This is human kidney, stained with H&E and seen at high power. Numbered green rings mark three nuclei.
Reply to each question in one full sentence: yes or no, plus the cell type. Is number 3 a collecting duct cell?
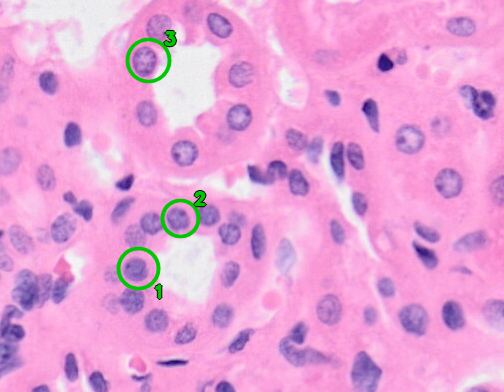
No, cell 3 should be read as a proximal tubule cell instead of a collecting duct cell.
